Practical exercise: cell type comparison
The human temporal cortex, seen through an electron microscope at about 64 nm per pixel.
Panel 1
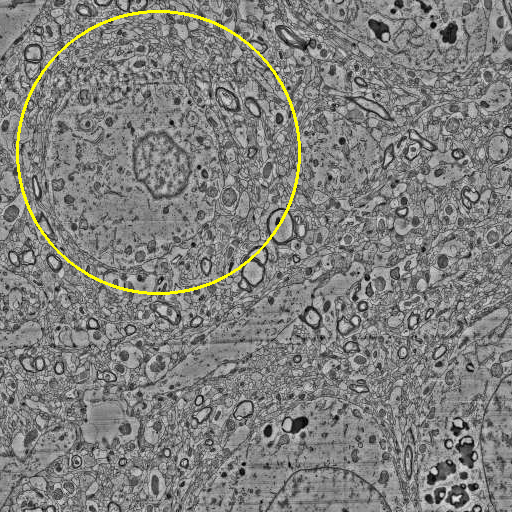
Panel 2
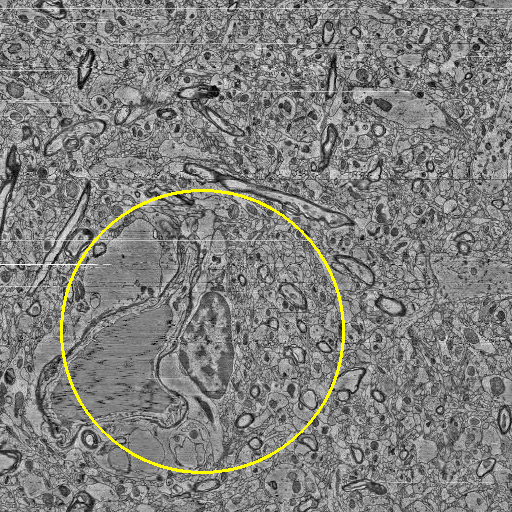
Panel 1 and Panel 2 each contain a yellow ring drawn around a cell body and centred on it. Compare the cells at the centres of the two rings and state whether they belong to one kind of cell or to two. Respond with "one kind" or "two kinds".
two kinds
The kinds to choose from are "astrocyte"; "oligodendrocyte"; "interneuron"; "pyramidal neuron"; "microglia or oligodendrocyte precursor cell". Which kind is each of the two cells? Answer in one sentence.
Of the two, the first cell is a pyramidal neuron and the second cell is a microglial cell or oligodendrocyte precursor cell.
